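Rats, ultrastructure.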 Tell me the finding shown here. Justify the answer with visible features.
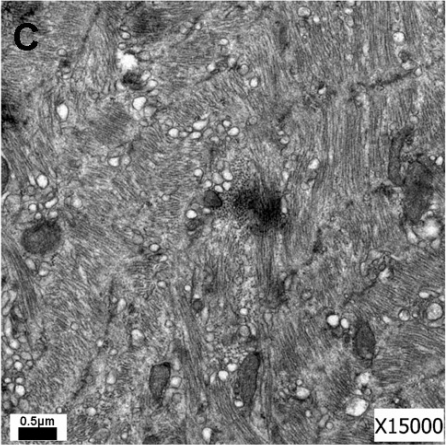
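Twisted fibers. Filament bundles run in many crossing, wavy directions instead of parallel. Numerous small clear vacuoles are scattered among the fibers.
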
